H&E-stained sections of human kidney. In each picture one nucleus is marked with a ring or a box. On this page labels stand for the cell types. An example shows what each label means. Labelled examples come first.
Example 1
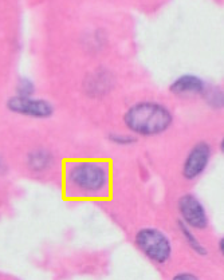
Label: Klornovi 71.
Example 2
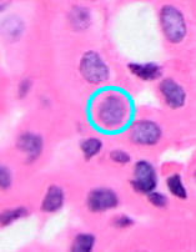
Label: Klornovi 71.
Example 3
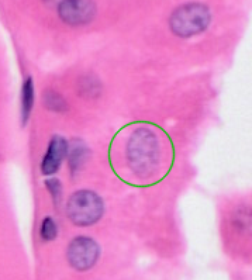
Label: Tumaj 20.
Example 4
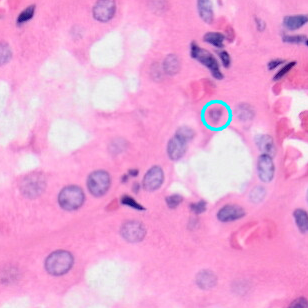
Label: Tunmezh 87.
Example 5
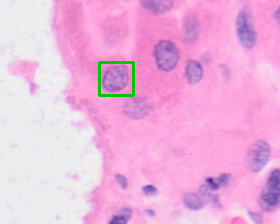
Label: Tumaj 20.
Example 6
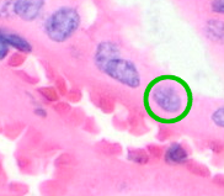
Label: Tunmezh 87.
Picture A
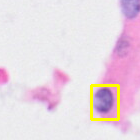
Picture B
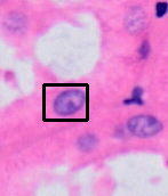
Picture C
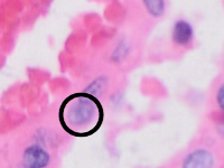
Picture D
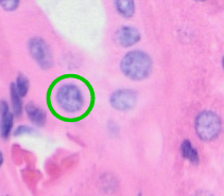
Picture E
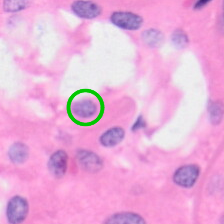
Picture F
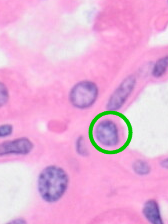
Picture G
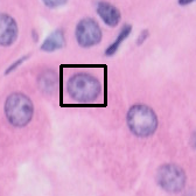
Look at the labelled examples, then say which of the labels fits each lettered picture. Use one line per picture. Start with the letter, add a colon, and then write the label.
A: Klornovi 71.
B: Tumaj 20.
C: Tunmezh 87.
D: Tunmezh 87.
E: Klornovi 71.
F: Tunmezh 87.
G: Tumaj 20.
